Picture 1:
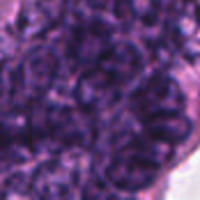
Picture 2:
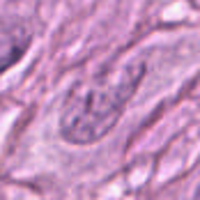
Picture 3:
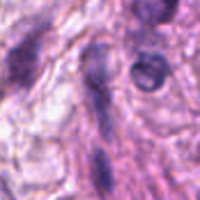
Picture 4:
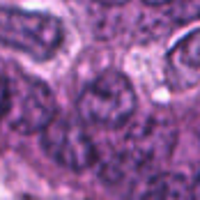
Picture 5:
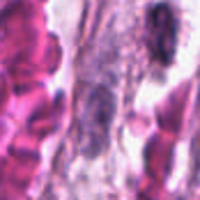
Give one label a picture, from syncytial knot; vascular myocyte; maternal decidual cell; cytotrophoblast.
(1) syncytial knot
(2) maternal decidual cell
(3) vascular myocyte
(4) cytotrophoblast
(5) maternal decidual cell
